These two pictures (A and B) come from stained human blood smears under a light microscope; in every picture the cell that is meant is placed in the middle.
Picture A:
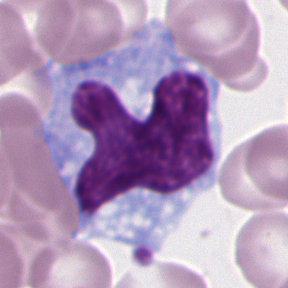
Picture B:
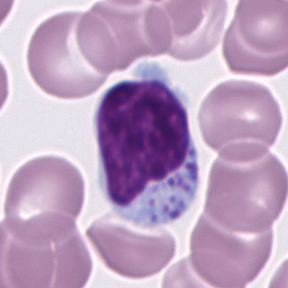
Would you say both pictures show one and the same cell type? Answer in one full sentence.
No. Picture A shows a monocyte, but picture B shows a large granular lymphocyte.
